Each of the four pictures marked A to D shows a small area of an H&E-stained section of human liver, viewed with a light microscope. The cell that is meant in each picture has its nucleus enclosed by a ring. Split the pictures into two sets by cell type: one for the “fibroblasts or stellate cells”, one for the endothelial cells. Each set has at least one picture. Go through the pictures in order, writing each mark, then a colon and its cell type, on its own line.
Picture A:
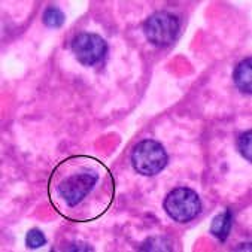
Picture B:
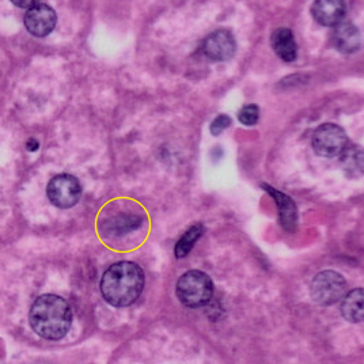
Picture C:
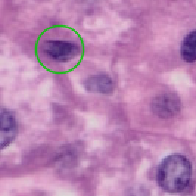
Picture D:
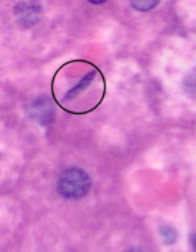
A: endothelial cell
B: endothelial cell
C: fibroblast or stellate cell
D: endothelial cell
